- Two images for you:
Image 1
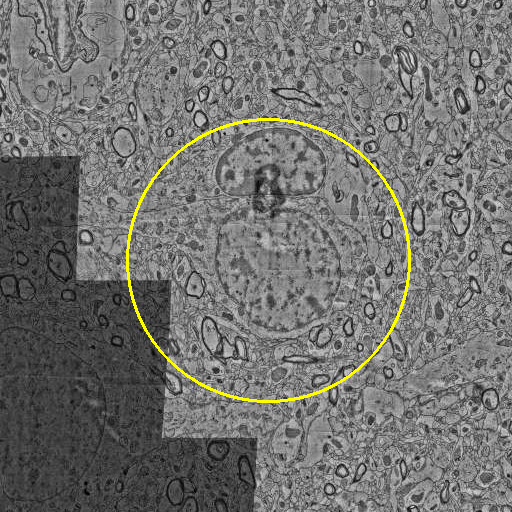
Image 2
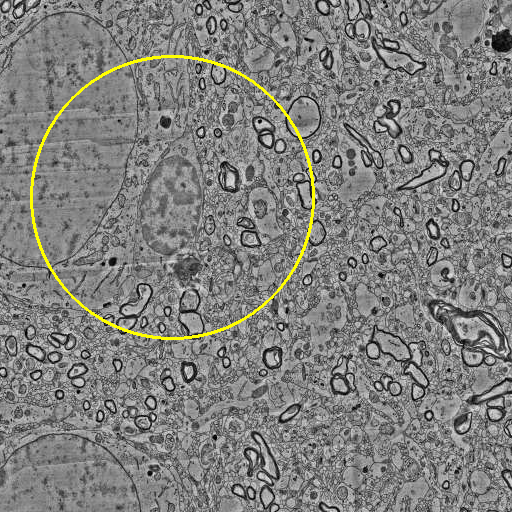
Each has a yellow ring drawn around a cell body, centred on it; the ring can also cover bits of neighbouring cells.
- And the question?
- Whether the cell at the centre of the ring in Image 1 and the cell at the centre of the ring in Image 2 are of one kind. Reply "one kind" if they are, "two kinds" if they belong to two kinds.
two kinds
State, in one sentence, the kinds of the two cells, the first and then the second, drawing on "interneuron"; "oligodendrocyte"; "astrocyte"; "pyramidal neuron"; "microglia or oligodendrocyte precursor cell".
The ring in the second picture is centred on an oligodendrocyte, the ring in the first on an interneuron.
